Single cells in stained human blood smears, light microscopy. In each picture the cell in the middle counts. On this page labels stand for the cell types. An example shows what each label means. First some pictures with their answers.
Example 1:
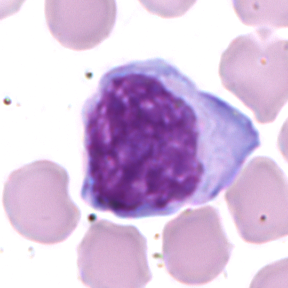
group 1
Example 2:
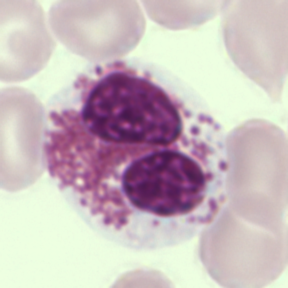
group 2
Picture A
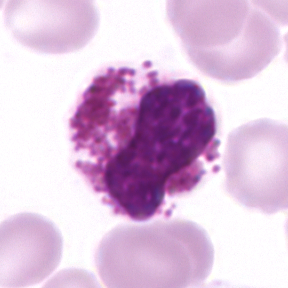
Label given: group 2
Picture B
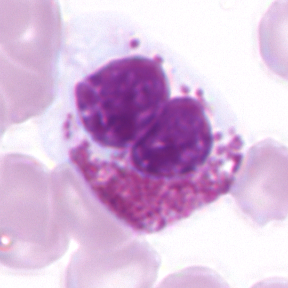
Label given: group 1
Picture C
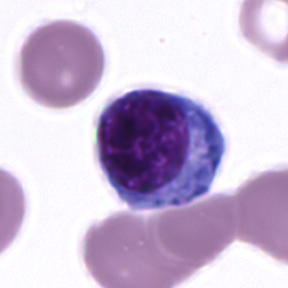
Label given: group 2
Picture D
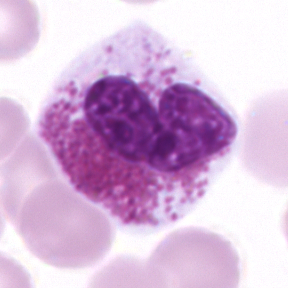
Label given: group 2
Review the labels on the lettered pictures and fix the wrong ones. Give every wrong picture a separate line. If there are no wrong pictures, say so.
B should be group 2, not group 1
C should be group 1, not group 2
